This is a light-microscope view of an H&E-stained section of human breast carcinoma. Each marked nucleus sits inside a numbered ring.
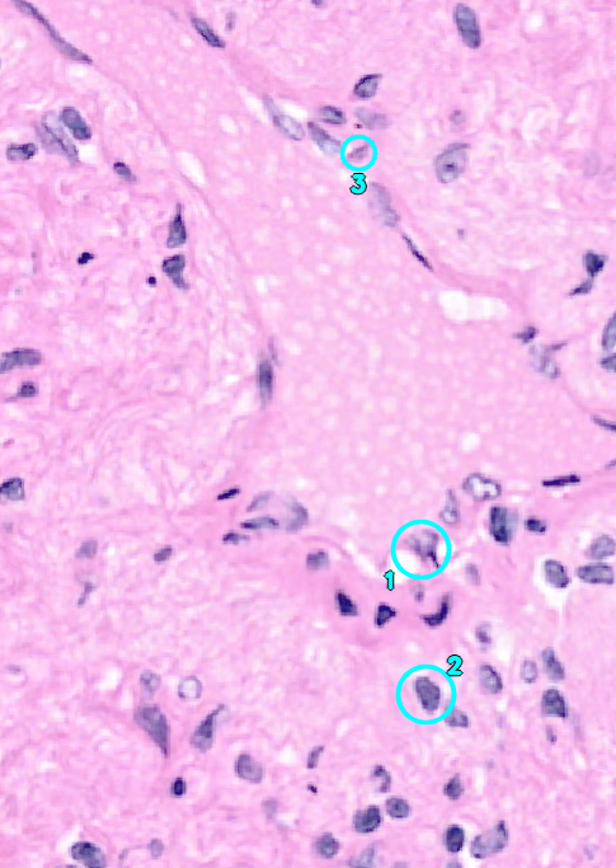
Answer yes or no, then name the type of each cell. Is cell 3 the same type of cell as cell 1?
Yes, both are endothelial cells.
